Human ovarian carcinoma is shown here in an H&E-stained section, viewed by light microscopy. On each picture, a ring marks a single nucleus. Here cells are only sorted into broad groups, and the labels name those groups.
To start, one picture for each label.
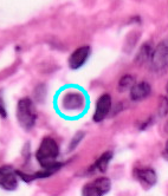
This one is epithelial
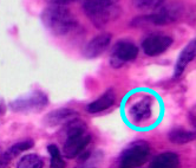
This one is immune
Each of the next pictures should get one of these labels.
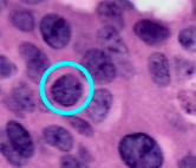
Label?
epithelial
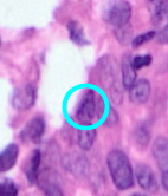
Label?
epithelial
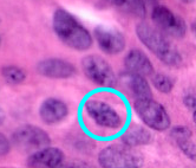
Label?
immune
